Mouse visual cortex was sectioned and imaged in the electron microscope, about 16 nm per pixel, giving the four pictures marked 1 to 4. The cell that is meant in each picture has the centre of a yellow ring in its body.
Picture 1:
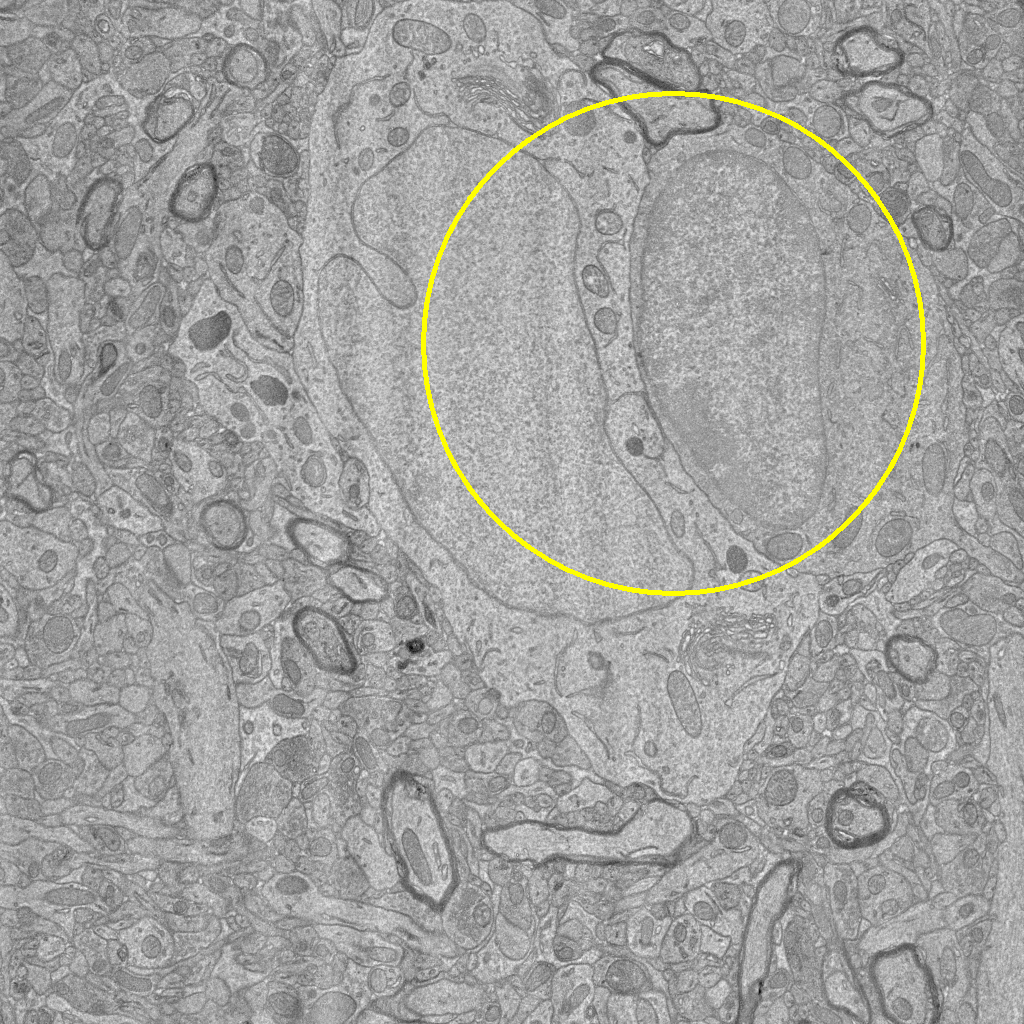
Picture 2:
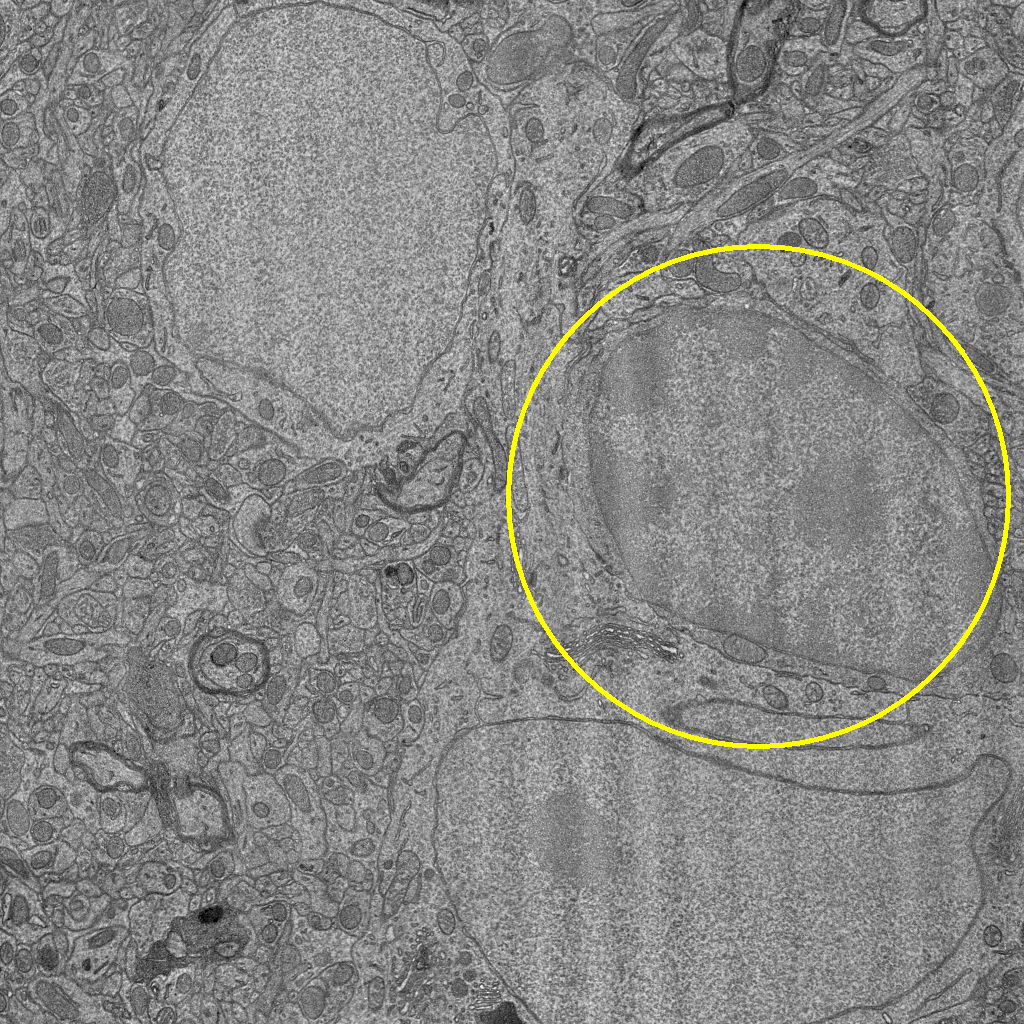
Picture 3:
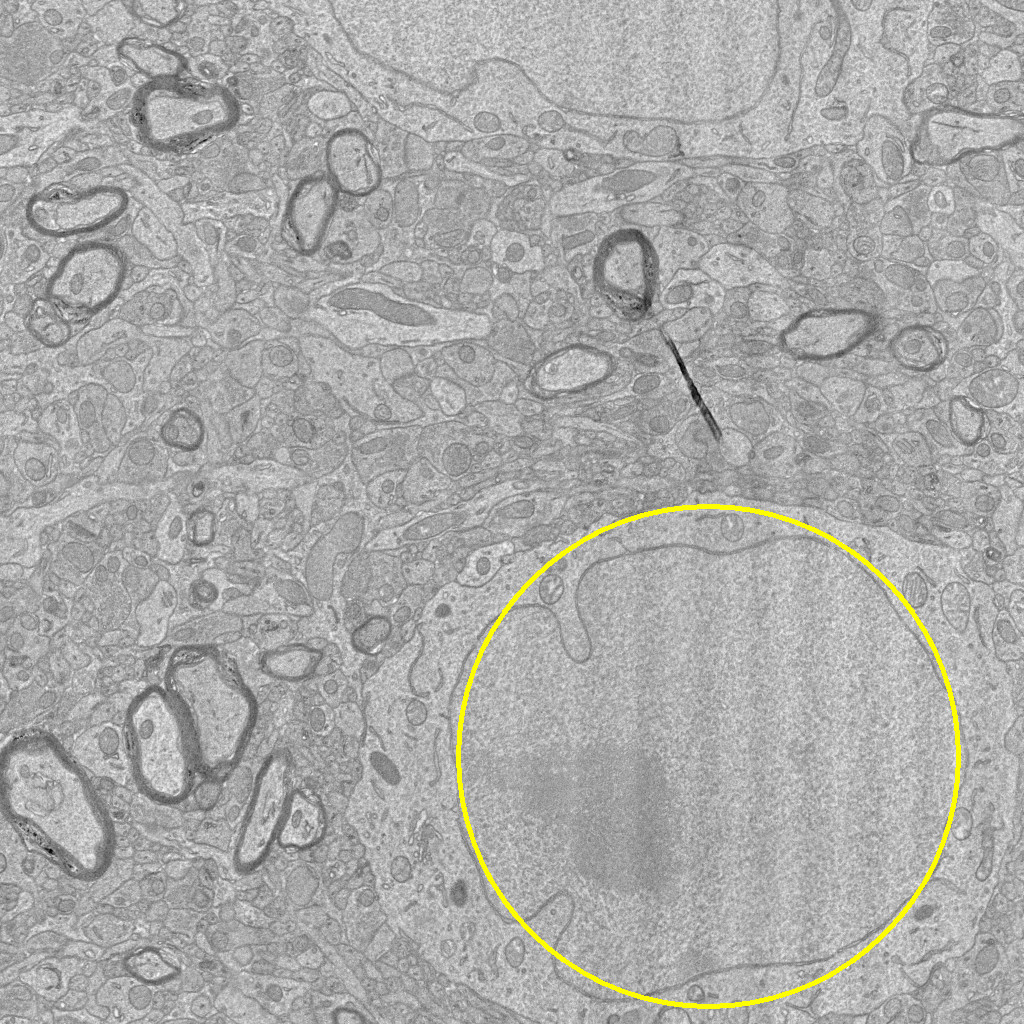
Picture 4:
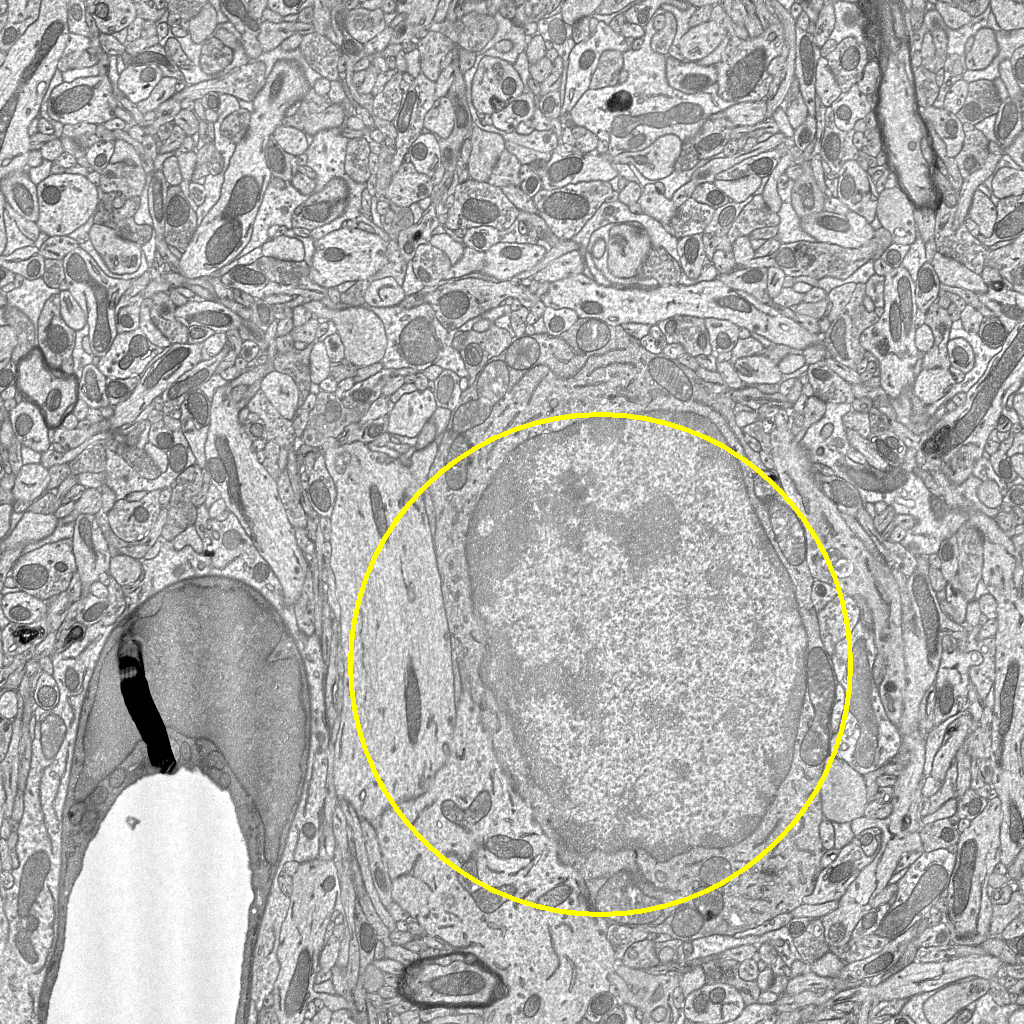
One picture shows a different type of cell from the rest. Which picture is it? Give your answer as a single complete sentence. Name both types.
The different one is picture 3; it shows an excitatory neuron, whereas all the others show oligodendrocytes.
